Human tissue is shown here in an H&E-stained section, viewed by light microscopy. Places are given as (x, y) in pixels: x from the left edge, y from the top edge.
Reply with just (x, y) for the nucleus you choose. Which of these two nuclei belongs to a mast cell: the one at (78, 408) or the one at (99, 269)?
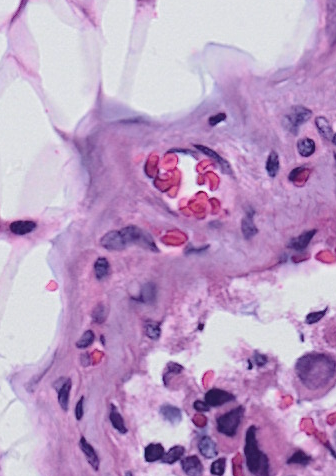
(99, 269)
